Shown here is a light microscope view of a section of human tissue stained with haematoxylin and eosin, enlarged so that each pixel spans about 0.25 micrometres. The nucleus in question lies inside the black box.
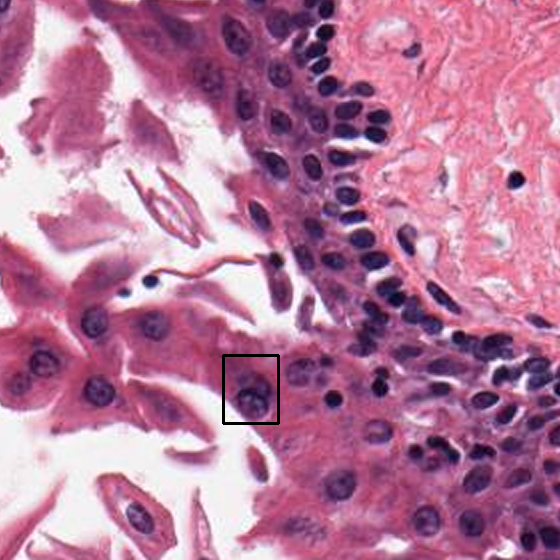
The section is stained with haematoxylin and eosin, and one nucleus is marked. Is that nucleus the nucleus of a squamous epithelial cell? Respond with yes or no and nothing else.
yes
